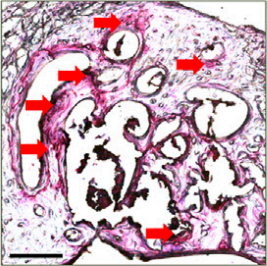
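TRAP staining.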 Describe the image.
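Bone tissue with several rounded cavities, bordered in places by magenta-red stained osteoclast-like cells. The stained cells lie along the edges of the bony walls around the cavities. Surrounding matrix is pale with scattered small lacunae.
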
